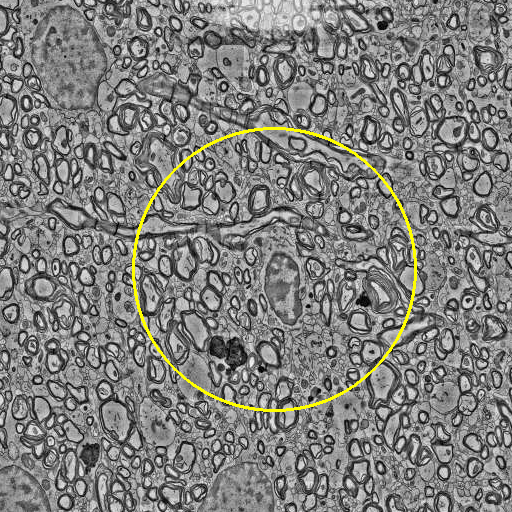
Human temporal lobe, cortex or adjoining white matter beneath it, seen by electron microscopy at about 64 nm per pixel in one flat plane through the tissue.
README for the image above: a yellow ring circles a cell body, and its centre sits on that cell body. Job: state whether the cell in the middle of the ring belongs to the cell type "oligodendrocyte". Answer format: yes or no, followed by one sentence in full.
No, in the image, the ring's central cell belongs to another type.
